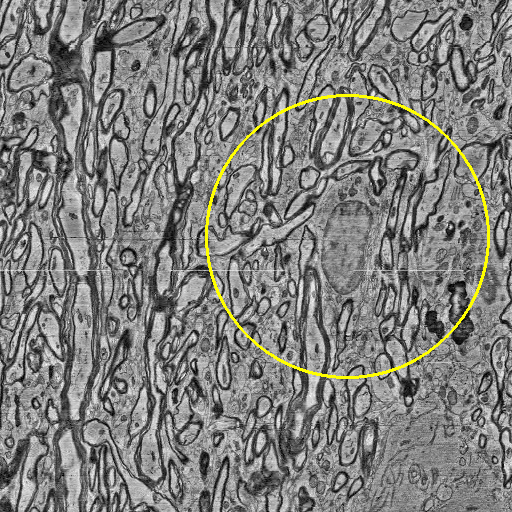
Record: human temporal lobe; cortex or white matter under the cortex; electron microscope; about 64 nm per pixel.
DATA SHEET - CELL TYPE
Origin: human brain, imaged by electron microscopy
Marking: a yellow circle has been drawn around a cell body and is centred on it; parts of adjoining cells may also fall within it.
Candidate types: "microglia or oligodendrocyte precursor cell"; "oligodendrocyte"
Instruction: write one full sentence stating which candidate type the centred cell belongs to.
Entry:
The cell body at the centre of the yellow ring in this micrograph belongs to an oligodendrocyte.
